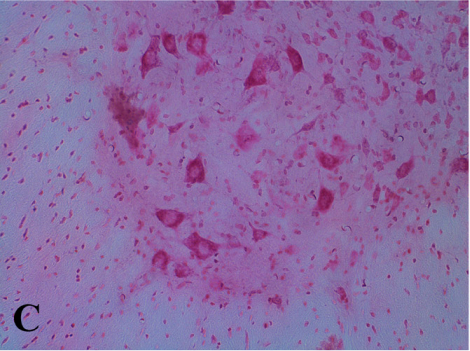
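This is the ventral horn of the spinal cord, with large motoneurons stained pink among a field of much smaller cells. The motoneurons have large angular, multipolar cell bodies with stout processes leaving at their corners. Numerous small, elongated nuclei of surrounding cells are dispersed throughout the pale blue neuropil. Toward the edges the tissue becomes paler and more fibrous, marking the surrounding white matter.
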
